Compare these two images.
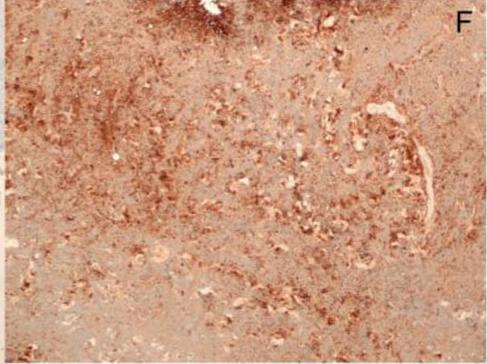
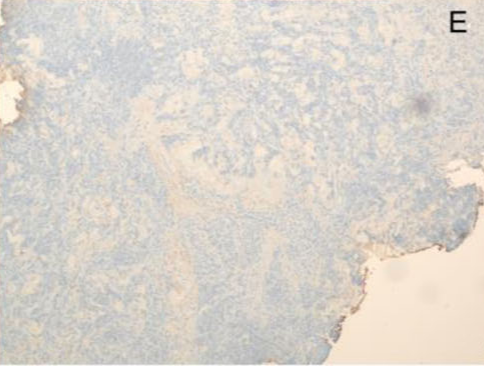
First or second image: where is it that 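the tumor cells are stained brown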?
the first image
